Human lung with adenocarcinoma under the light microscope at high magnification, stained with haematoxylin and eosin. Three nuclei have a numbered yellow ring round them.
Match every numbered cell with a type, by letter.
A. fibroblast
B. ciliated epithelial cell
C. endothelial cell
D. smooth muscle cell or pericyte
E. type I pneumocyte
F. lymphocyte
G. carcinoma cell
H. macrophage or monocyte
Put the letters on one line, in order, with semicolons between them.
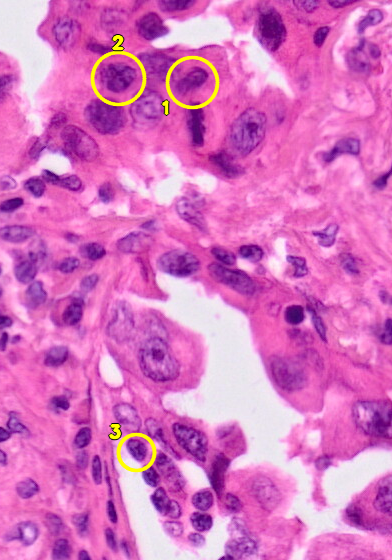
G; G; F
